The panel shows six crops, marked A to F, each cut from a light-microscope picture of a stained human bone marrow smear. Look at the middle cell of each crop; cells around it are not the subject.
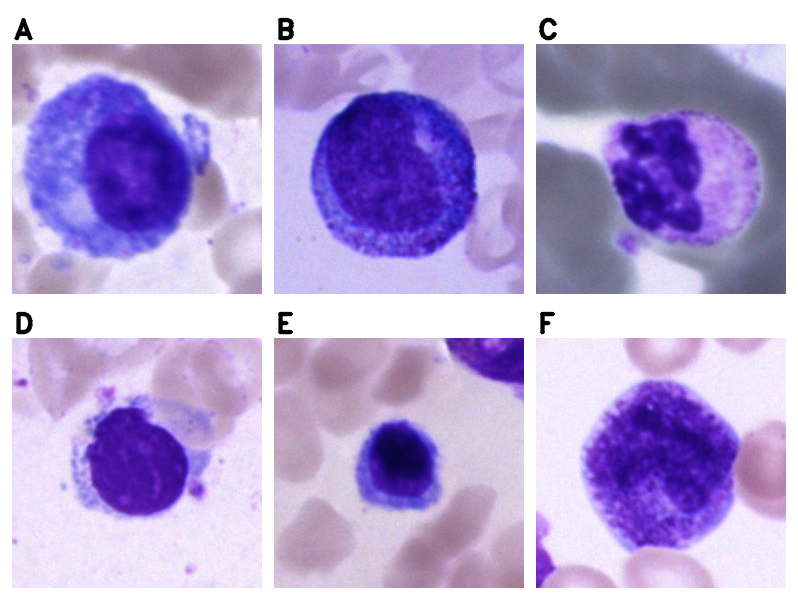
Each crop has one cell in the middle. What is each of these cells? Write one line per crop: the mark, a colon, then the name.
A: promyelocyte
B: promyelocyte
C: neutrophil
D: lymphocyte
E: lymphocyte
F: promyelocyte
